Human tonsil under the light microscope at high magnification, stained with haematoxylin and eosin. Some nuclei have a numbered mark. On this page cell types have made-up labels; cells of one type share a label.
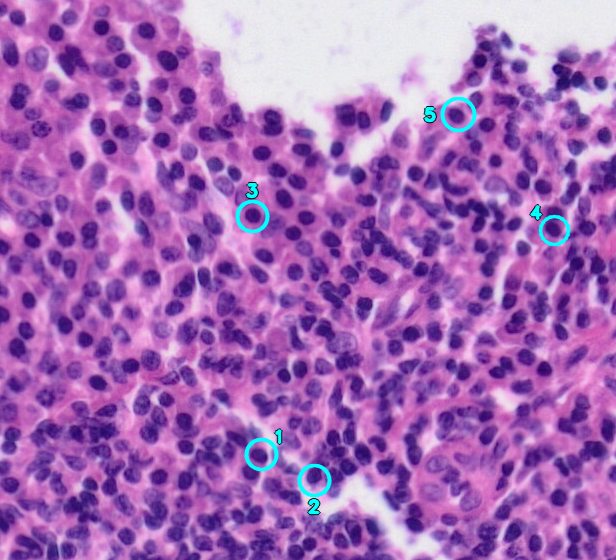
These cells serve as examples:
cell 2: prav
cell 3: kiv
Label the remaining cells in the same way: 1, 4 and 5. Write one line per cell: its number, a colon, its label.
1: prav
4: kiv
5: kiv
